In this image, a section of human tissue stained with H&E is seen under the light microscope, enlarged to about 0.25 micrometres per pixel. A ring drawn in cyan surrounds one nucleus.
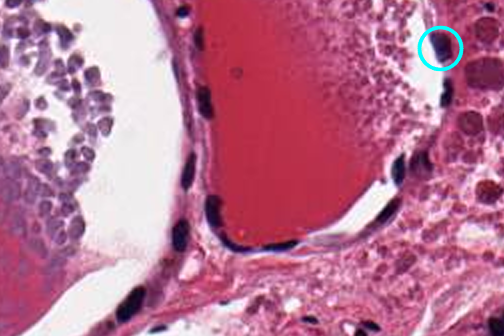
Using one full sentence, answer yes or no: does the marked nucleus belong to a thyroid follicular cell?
Yes, the cell containing the marked nucleus is a thyroid follicular cell.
